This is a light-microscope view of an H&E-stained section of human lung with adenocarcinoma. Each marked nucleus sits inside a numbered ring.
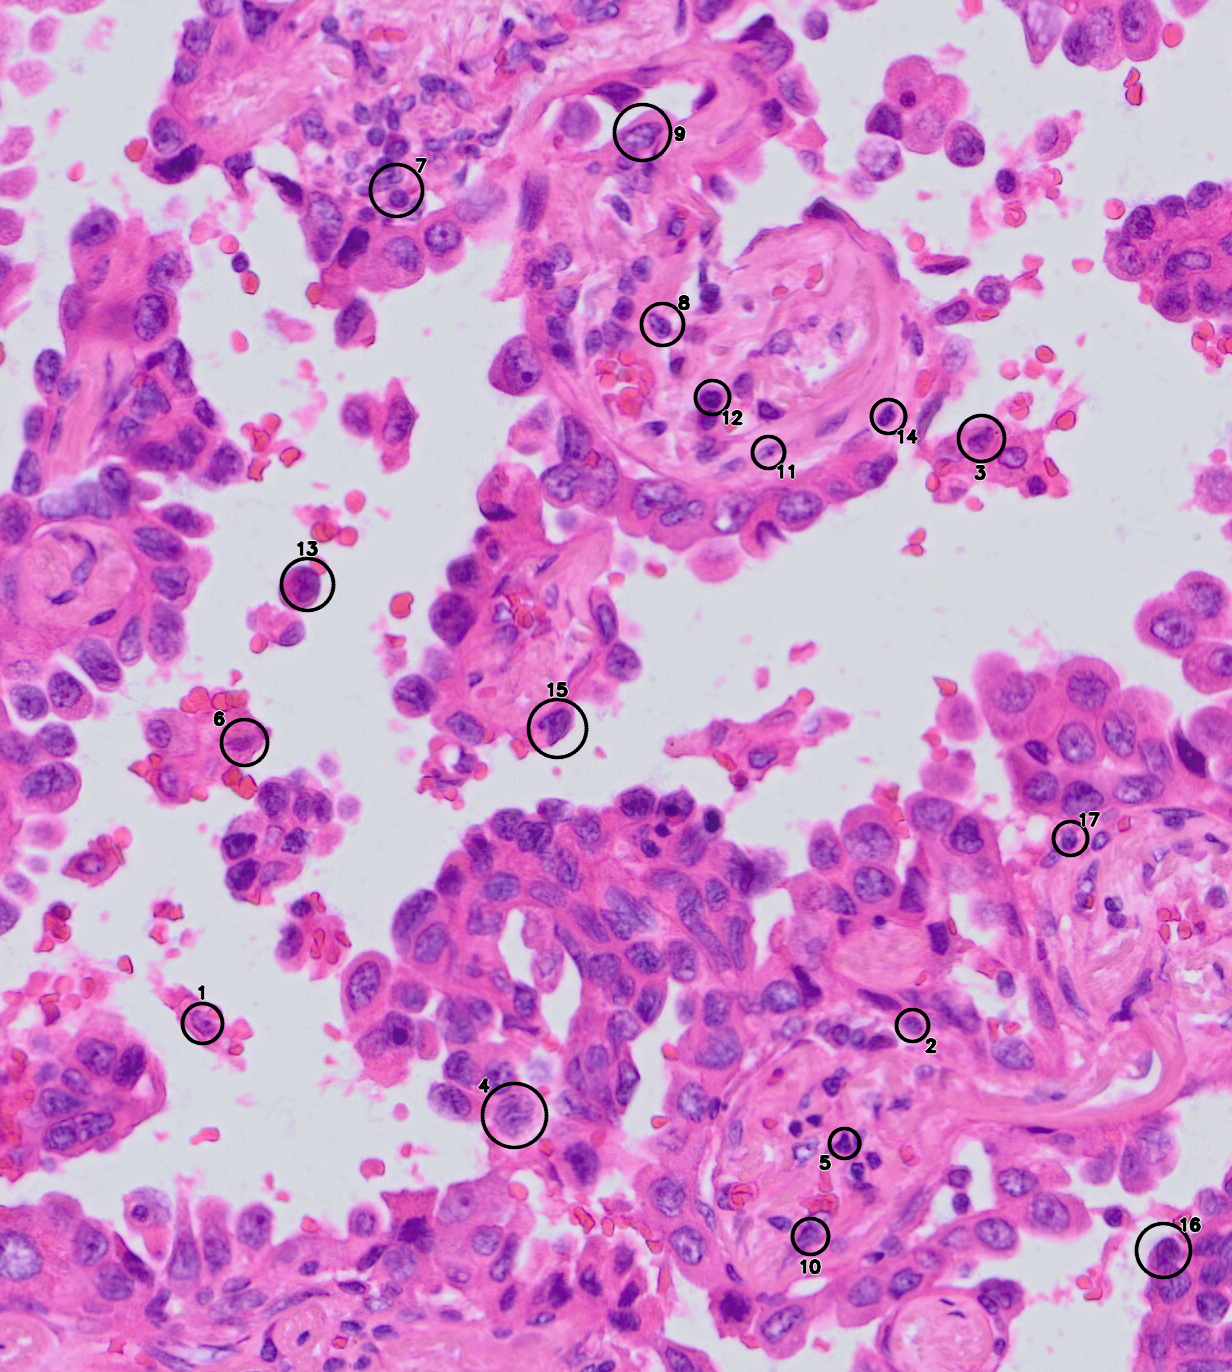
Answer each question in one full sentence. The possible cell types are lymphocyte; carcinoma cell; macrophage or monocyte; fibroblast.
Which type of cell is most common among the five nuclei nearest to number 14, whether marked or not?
The majority of the five nuclei closest to number 14 belong to fibroblasts.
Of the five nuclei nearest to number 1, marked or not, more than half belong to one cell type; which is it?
Carcinoma cells make up most of the five nuclei closest to number 1.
